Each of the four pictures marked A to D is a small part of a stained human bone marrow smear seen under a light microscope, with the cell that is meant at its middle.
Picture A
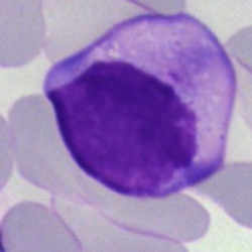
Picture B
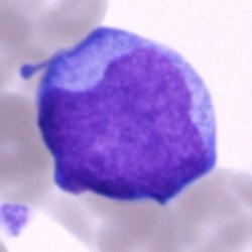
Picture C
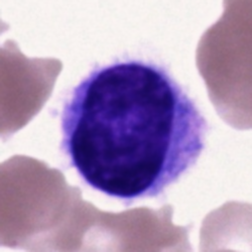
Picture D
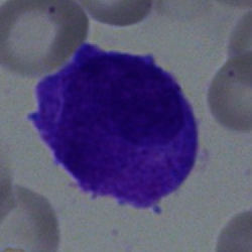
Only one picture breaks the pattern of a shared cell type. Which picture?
C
